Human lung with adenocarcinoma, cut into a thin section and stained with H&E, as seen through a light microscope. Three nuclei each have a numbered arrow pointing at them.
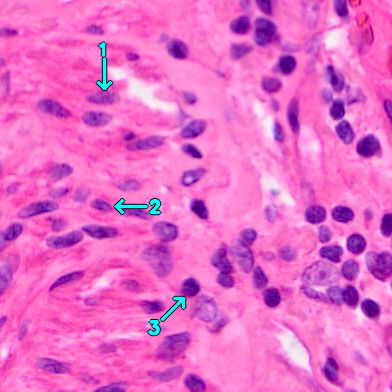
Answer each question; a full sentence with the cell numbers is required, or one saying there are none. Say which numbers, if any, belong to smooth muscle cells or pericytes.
The cells tagged with numbers 1 and 2 are smooth muscle cells or pericytes.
